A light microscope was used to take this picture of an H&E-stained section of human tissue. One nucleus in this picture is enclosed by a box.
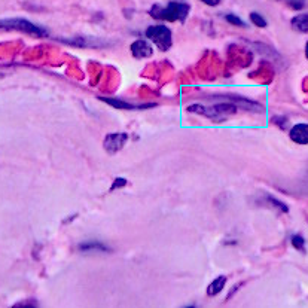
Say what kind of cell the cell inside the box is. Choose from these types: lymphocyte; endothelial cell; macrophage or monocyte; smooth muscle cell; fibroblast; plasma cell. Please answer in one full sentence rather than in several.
Recorded by type, the cell inside the box is an endothelial cell.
